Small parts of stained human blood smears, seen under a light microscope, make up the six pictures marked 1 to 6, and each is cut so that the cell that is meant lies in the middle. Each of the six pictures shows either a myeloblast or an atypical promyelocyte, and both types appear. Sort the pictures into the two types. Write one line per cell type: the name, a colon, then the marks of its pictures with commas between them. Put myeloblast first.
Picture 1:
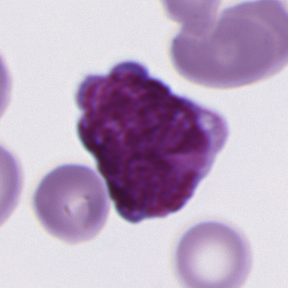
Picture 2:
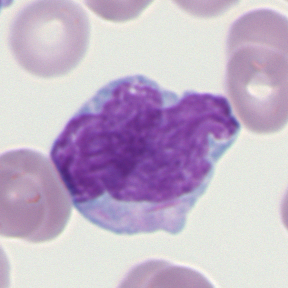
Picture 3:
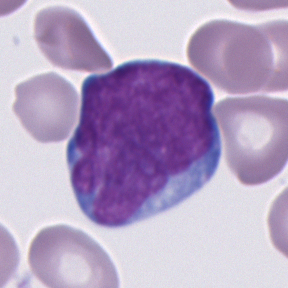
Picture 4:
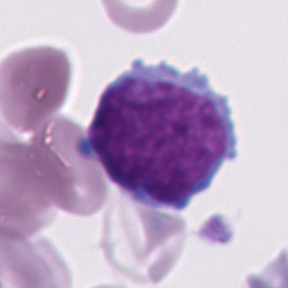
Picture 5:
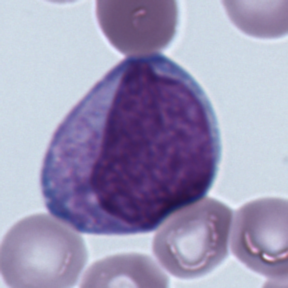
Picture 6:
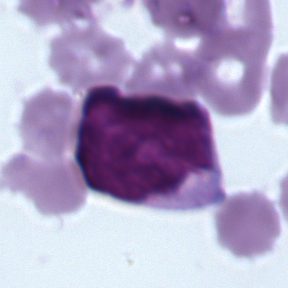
myeloblast: 1, 3, 4, 6
atypical promyelocyte: 2, 5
